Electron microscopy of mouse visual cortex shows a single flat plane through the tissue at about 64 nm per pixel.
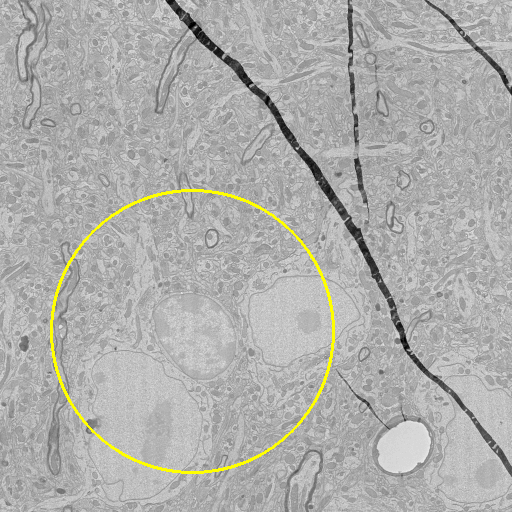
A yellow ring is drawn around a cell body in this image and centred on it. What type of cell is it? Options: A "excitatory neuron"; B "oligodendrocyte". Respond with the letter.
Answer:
B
